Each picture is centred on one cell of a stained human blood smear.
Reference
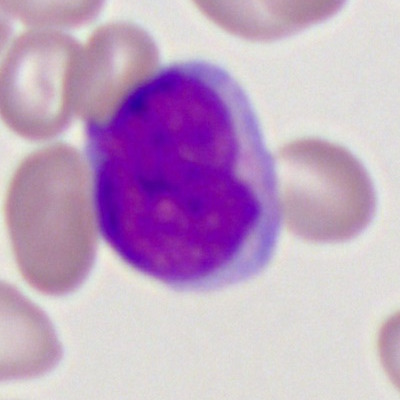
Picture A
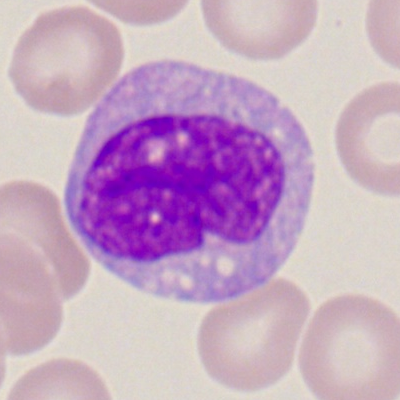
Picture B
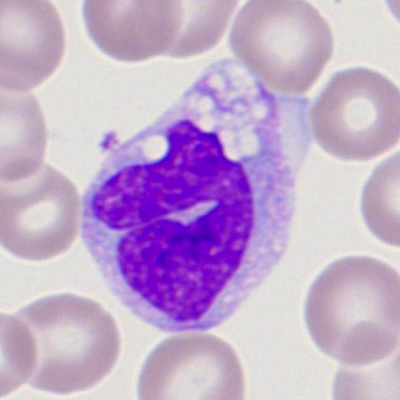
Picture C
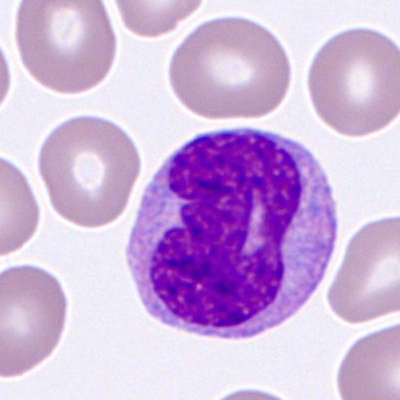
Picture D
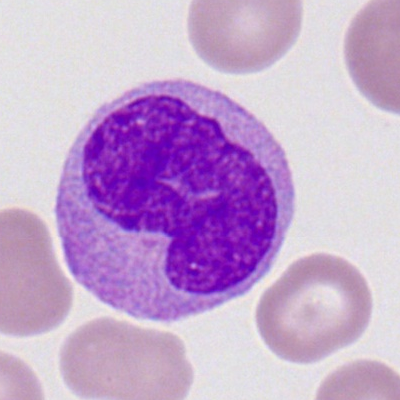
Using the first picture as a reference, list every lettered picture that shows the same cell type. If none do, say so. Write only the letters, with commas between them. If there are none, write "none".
none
